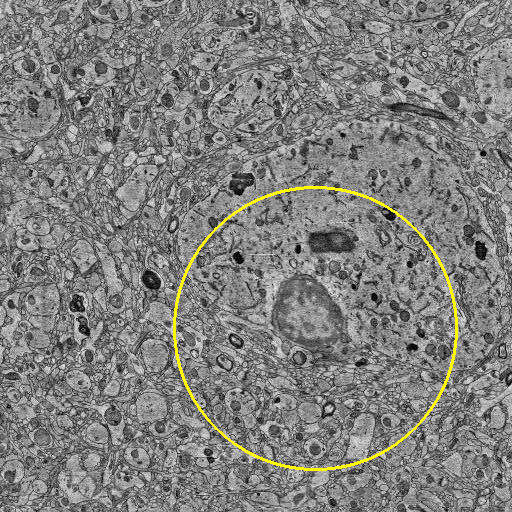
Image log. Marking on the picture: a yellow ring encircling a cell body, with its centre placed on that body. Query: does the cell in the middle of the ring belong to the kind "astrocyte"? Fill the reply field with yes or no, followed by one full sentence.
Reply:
No, the cell at the centre of the yellow ring in this picture belongs to a different kind.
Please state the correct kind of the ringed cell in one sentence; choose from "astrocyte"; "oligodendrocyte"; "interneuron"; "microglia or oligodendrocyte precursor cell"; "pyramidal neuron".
Instead, the cell inside the ring is an oligodendrocyte.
